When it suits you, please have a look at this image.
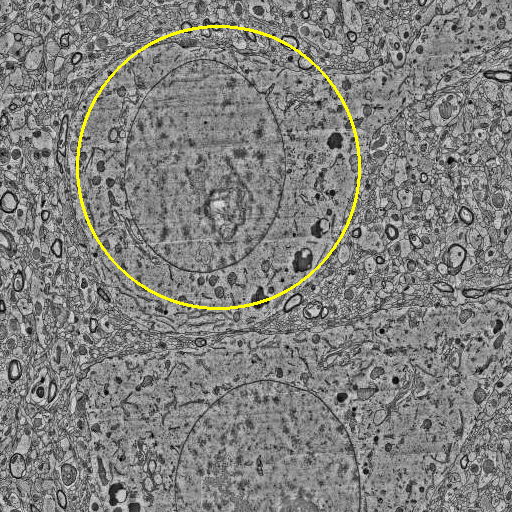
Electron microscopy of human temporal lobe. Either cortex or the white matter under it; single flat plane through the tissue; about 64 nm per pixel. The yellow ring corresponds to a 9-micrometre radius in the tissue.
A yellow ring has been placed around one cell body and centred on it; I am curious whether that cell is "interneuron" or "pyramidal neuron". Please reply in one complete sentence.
The ringed cell, a pyramidal neuron, has its body at the centre of the yellow ring.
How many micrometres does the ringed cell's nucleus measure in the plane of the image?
In this plane the nucleus measures roughly 14 by 11 micrometres.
